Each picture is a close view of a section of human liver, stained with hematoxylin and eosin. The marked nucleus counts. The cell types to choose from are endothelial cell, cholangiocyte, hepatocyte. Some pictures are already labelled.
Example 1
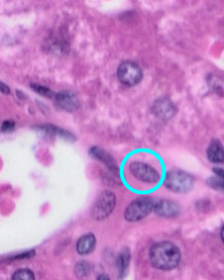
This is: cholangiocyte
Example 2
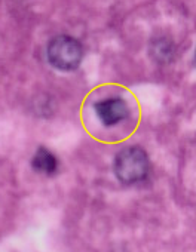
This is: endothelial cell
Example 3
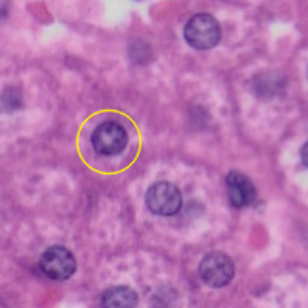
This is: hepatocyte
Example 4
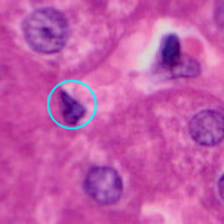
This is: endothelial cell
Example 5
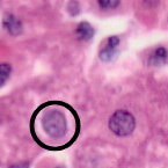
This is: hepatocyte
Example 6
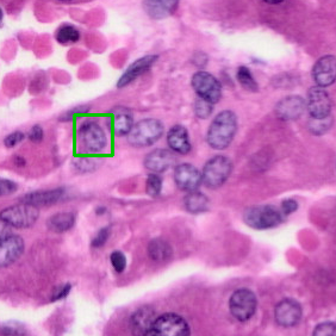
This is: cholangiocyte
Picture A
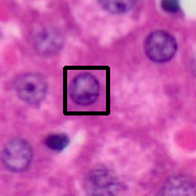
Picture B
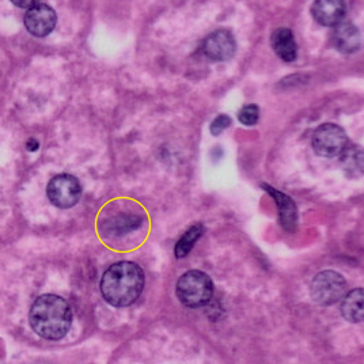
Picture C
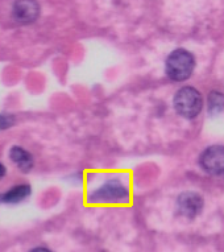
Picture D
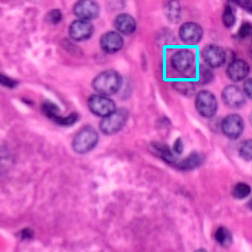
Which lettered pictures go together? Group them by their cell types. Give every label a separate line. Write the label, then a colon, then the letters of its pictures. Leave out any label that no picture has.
endothelial cell: B, C
cholangiocyte: D
hepatocyte: A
